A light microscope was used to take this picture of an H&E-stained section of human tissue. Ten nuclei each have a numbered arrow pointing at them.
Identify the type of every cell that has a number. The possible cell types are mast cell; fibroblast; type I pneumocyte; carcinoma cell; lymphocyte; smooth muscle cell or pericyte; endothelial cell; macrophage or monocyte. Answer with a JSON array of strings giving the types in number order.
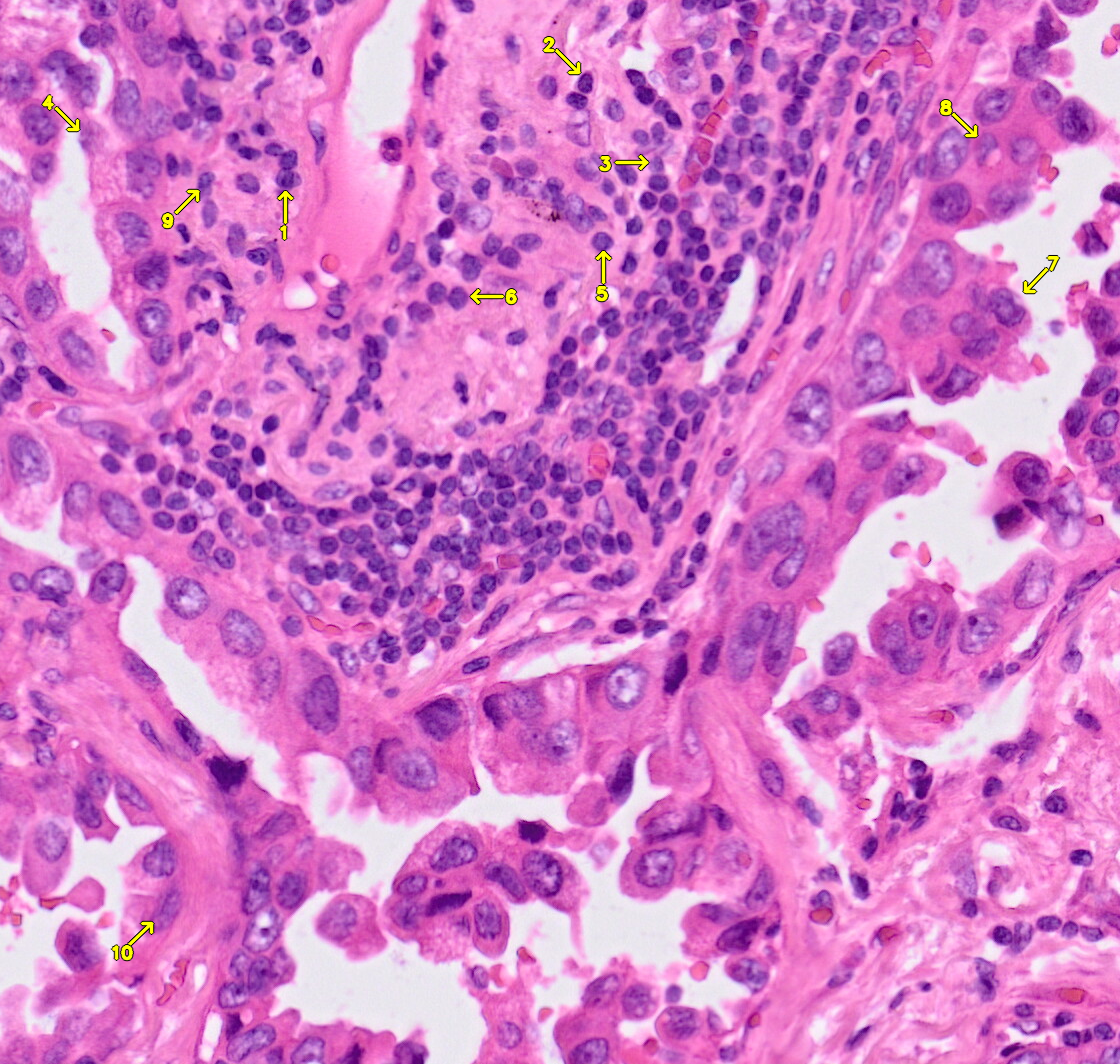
["lymphocyte", "lymphocyte", "lymphocyte", "carcinoma cell", "lymphocyte", "lymphocyte", "carcinoma cell", "carcinoma cell", "lymphocyte", "carcinoma cell"]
